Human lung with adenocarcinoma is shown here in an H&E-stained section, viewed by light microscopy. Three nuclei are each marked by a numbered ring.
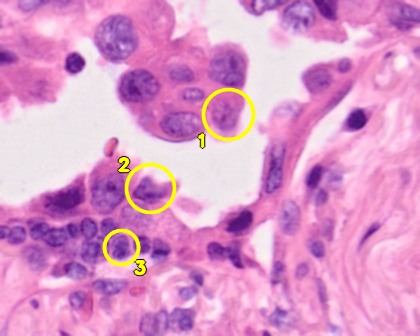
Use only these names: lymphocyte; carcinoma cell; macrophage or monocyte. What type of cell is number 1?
carcinoma cell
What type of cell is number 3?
lymphocyte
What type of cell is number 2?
carcinoma cell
